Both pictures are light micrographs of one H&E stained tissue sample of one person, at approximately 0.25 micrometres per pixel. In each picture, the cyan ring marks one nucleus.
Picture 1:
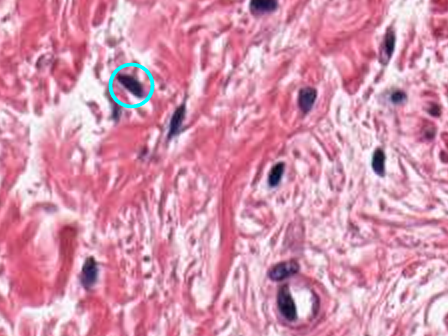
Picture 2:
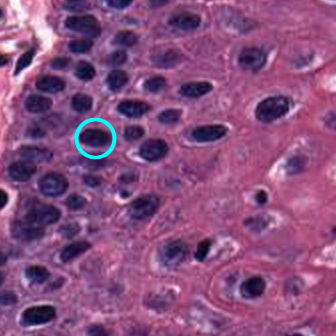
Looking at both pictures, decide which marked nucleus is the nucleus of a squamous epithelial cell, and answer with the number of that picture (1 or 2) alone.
2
